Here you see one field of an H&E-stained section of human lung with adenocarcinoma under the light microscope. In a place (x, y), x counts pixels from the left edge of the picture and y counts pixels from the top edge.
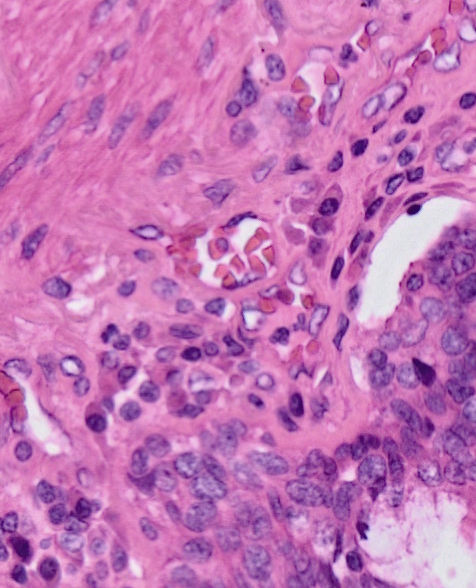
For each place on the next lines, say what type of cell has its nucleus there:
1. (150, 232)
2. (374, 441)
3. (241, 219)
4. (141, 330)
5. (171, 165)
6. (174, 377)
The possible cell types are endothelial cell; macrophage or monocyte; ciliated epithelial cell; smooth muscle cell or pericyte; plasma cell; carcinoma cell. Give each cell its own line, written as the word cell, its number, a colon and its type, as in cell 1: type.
cell 1: endothelial cell
cell 2: ciliated epithelial cell
cell 3: endothelial cell
cell 4: plasma cell
cell 5: smooth muscle cell or pericyte
cell 6: plasma cell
